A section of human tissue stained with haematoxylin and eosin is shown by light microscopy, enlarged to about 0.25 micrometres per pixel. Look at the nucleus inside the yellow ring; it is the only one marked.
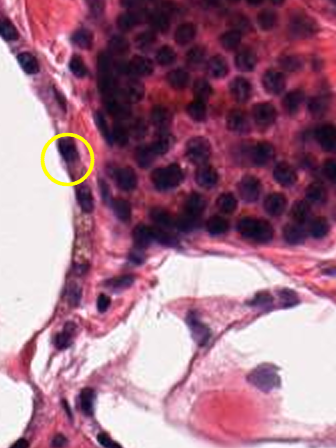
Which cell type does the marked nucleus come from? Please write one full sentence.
Indicated by the mark is a nucleus that belongs to a thyroid follicular cell.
